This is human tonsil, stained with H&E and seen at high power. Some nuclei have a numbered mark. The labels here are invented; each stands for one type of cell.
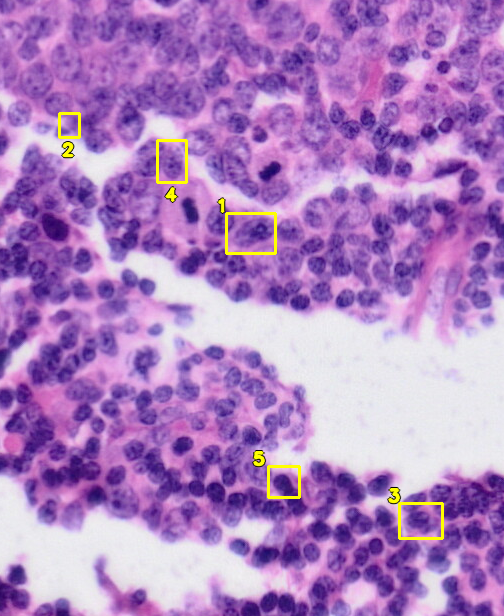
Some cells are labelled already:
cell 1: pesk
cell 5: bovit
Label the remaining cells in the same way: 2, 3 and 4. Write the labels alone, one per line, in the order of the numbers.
pesk
bovit
pesk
